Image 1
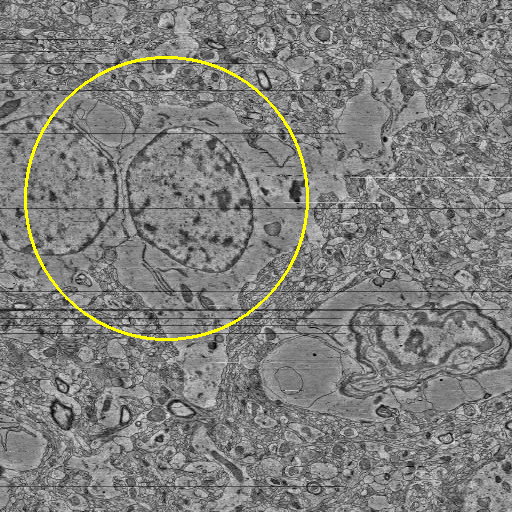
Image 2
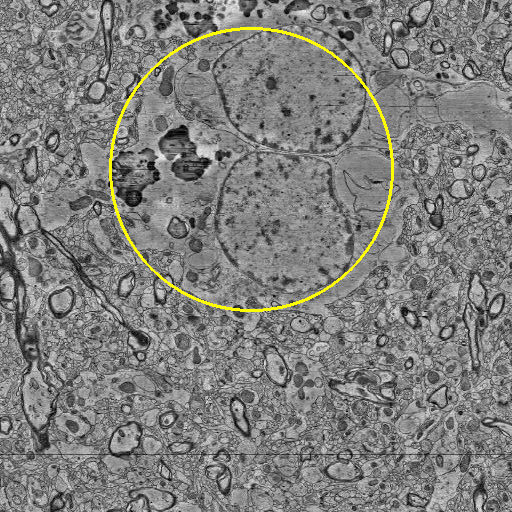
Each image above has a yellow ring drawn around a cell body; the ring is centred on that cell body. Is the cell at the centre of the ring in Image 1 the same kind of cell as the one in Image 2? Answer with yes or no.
yes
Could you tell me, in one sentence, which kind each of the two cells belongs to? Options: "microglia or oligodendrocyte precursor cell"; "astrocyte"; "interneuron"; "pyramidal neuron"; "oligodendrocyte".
Both cells are the same kind, each one being an astrocyte.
